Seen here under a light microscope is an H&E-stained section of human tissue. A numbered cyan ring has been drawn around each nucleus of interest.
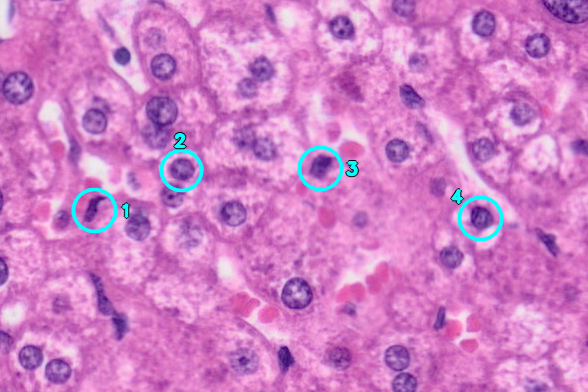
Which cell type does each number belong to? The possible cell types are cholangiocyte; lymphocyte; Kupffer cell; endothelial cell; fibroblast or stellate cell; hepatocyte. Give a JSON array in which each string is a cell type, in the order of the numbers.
["fibroblast or stellate cell", "hepatocyte", "fibroblast or stellate cell", "hepatocyte"]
